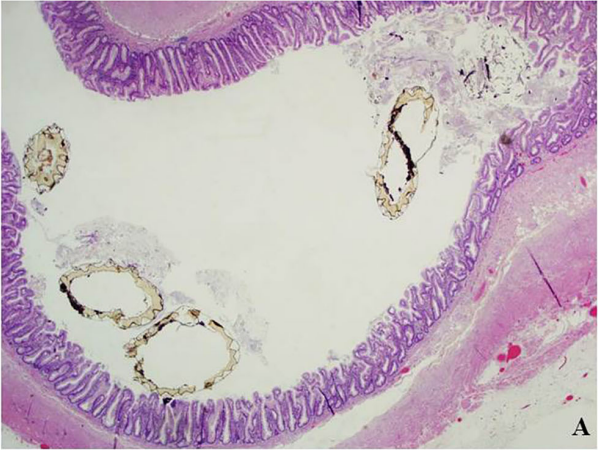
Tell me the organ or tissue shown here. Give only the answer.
distended appendix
